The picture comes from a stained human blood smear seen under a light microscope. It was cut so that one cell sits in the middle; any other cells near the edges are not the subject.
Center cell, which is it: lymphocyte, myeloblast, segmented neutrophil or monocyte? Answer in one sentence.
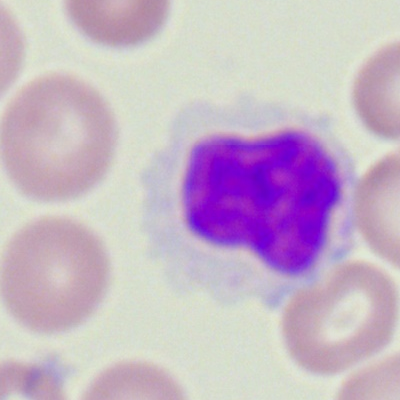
The center cell of this crop is a lymphocyte.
